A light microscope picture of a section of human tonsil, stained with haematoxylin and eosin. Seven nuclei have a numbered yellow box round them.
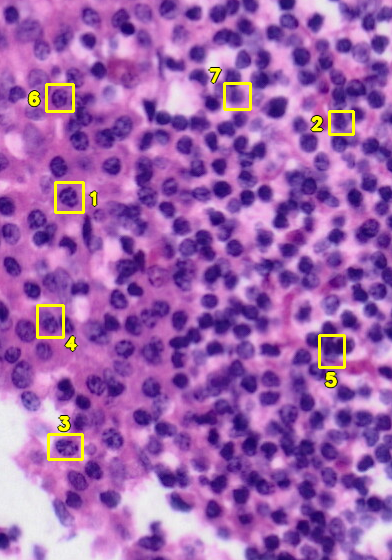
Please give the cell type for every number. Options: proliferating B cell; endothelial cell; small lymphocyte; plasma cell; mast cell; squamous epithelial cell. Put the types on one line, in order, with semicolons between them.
plasma cell; small lymphocyte; plasma cell; plasma cell; small lymphocyte; plasma cell; small lymphocyte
